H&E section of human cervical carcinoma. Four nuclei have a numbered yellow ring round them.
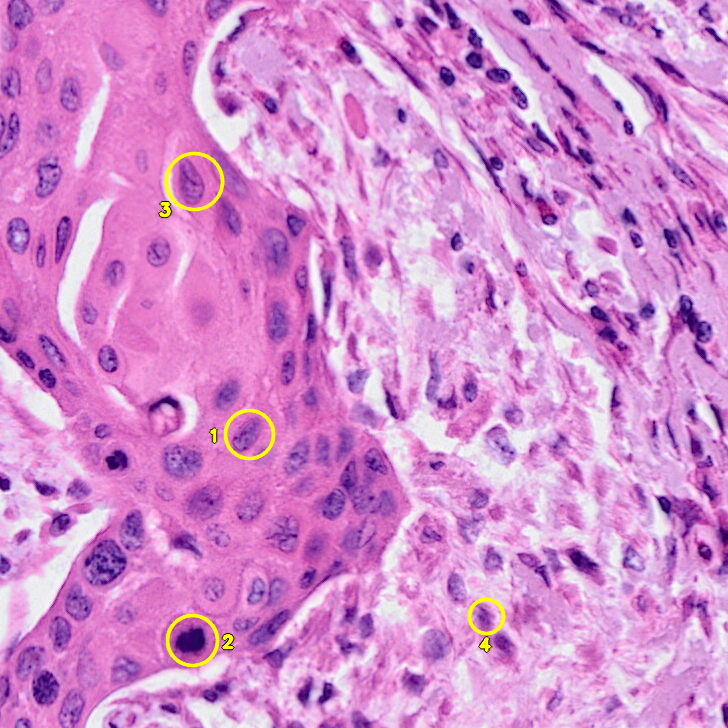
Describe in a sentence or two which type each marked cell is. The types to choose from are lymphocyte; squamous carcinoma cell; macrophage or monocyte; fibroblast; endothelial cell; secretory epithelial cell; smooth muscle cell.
Cell 1 is a squamous carcinoma cell, cell 2 is a squamous carcinoma cell, cell 3 is a squamous carcinoma cell and cell 4 is a fibroblast.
